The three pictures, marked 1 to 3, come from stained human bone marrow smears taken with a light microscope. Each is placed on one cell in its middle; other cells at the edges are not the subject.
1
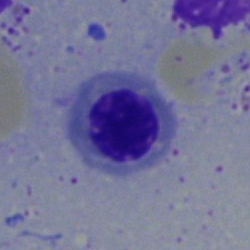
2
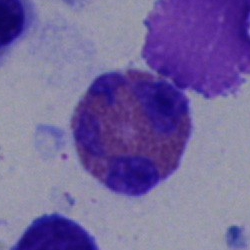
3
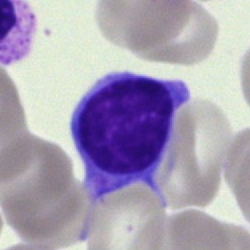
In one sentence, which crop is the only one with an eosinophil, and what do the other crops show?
Sorting them out, crop 2 is an eosinophil, while crop 1 is an erythroblast and crop 3 is a lymphocyte.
